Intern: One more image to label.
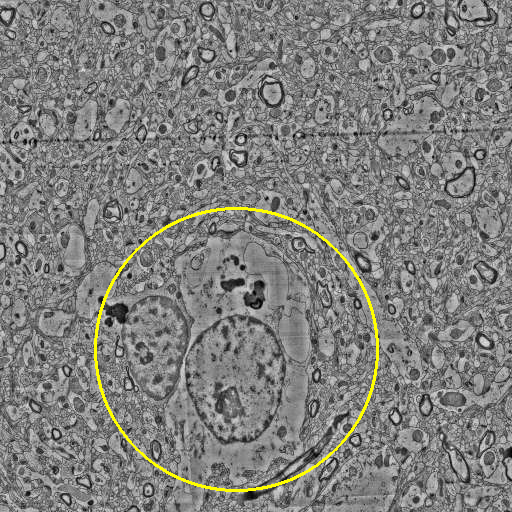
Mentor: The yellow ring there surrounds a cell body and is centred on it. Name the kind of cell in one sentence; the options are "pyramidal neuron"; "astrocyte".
The ring marks the cell body of an astrocyte.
